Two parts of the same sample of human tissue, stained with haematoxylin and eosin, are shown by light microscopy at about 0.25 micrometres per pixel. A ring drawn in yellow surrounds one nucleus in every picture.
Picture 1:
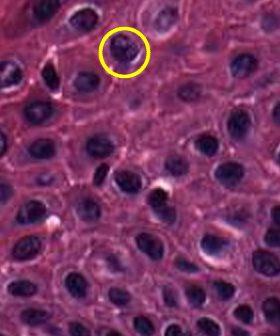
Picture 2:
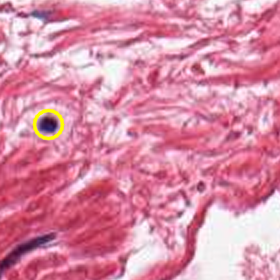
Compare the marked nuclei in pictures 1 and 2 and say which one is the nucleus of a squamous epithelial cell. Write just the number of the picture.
1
